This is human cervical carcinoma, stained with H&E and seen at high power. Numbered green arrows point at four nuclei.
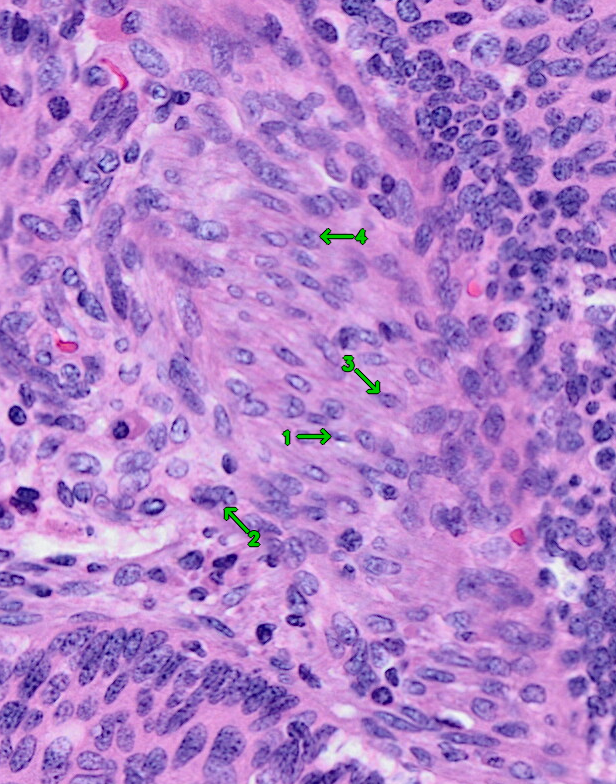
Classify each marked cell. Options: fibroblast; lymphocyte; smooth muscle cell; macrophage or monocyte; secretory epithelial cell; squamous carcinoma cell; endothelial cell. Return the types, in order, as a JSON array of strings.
["smooth muscle cell", "endothelial cell", "smooth muscle cell", "smooth muscle cell"]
